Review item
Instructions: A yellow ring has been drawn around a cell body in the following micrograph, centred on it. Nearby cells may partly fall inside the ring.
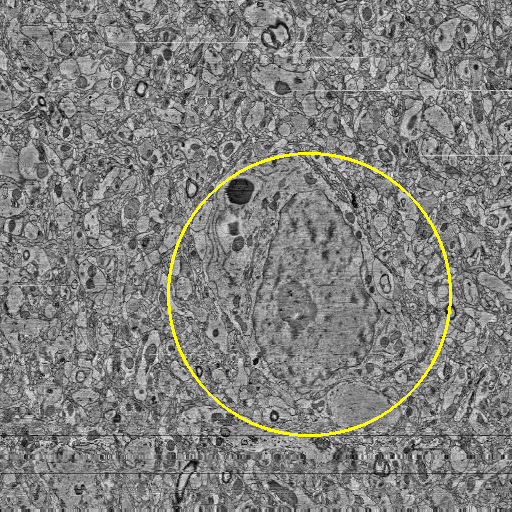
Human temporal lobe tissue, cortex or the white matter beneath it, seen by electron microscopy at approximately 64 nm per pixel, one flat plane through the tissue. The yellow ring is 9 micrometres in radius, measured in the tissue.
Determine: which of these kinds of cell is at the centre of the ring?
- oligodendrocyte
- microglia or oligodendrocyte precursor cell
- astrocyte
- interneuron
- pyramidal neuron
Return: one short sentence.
The cell body in the middle of the ring is that of an interneuron.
